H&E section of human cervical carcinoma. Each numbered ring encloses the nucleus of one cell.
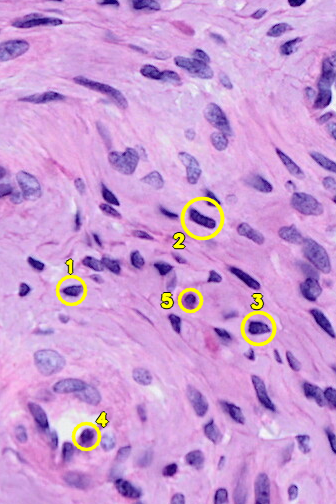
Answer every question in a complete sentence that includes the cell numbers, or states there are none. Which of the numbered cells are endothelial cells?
Cell 4 is an endothelial cell; no further numbered cell is.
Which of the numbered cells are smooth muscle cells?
None but cell 5 among the numbered cells is a smooth muscle cell.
